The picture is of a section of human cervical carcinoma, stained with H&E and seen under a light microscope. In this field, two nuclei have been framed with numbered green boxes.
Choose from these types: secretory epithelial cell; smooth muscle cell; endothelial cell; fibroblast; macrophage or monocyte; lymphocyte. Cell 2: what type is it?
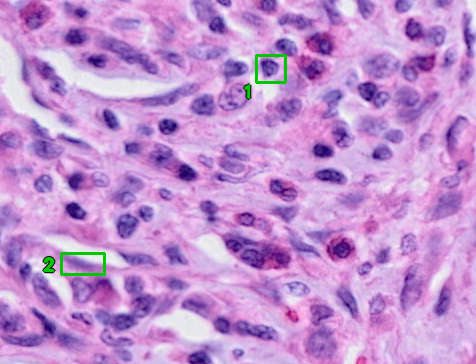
endothelial cell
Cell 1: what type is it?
lymphocyte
